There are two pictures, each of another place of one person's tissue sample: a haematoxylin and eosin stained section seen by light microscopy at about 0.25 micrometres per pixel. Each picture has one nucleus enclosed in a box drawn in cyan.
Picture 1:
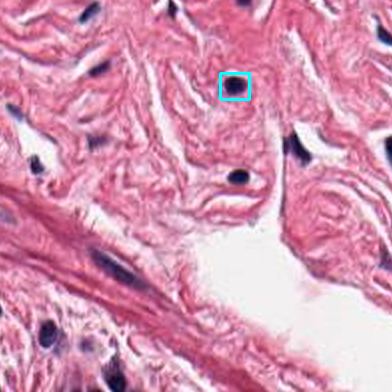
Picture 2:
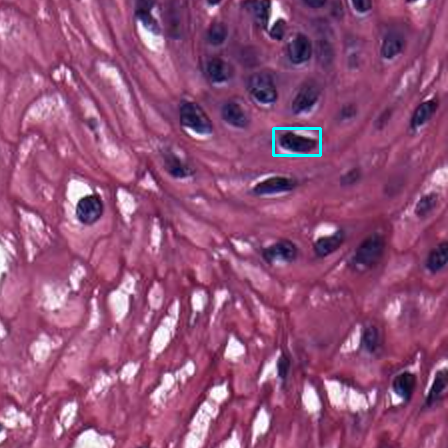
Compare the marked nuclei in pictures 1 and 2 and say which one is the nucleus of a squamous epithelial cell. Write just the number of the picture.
2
